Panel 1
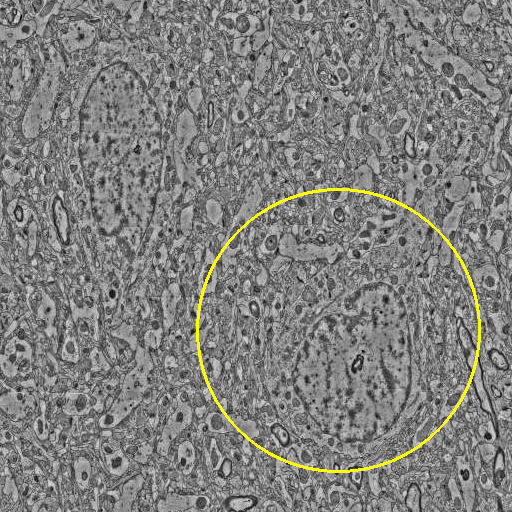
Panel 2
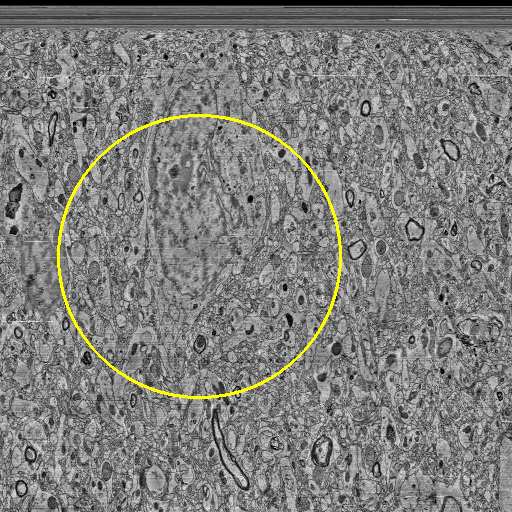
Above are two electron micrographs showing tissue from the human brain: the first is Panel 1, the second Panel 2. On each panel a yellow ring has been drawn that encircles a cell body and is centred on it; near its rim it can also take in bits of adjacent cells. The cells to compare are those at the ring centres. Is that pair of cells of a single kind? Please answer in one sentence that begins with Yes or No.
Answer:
Yes, the ring-centred cells of Panel 1 and Panel 2 belong to one kind.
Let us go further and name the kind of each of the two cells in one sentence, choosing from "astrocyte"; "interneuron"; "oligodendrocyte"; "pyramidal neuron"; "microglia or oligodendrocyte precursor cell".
Each one of the two ringed cells is an interneuron.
